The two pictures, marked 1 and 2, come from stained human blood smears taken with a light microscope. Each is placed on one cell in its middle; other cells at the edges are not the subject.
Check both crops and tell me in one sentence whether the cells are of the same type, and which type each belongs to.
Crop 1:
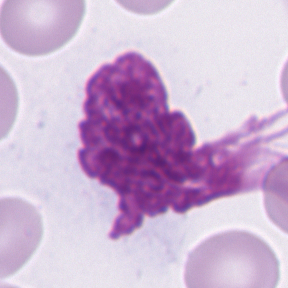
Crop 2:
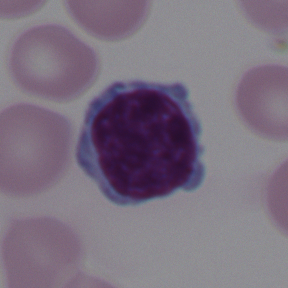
No, crop 1 presents a smudge cell, whereas crop 2 presents a typical lymphocyte.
